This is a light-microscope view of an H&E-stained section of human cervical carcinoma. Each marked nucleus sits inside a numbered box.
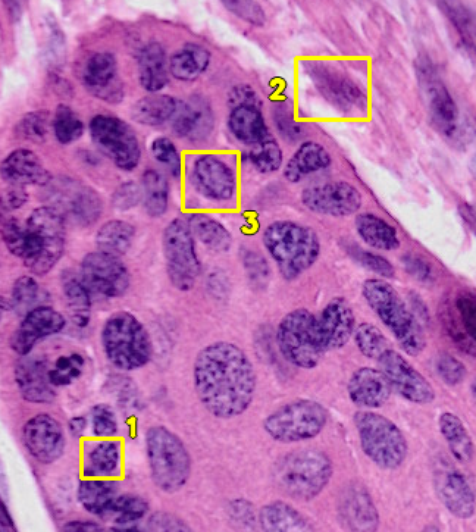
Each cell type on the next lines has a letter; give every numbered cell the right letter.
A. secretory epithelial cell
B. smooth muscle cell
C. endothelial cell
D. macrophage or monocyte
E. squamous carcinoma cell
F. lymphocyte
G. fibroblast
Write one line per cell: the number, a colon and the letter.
1: E
2: G
3: E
